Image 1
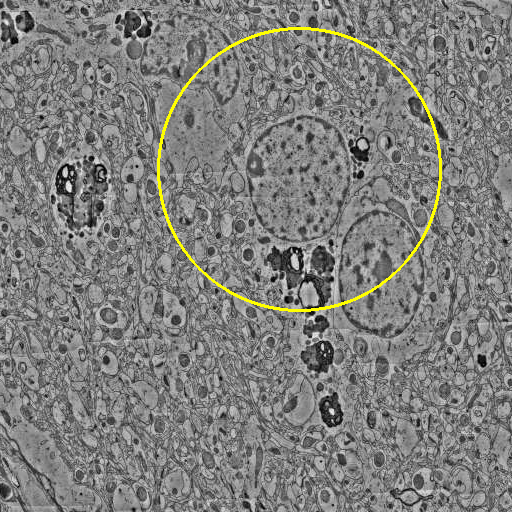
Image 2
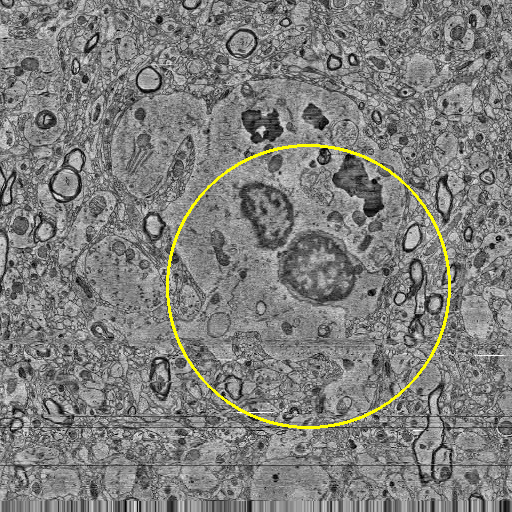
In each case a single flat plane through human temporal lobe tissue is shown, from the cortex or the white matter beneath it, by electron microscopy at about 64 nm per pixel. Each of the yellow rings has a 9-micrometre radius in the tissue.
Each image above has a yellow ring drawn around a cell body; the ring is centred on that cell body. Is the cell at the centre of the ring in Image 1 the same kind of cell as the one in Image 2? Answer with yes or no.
no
